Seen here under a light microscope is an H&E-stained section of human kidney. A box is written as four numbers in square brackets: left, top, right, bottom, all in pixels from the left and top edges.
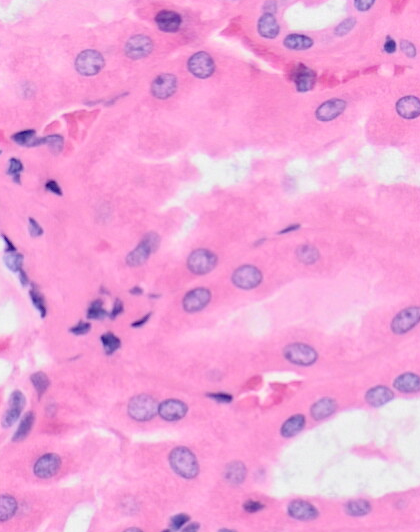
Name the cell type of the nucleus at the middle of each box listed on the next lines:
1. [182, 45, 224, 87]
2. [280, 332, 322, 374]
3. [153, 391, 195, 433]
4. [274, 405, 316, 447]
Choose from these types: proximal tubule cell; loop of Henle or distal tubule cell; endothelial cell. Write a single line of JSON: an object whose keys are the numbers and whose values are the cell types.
{"1": "proximal tubule cell", "2": "proximal tubule cell", "3": "proximal tubule cell", "4": "loop of Henle or distal tubule cell"}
